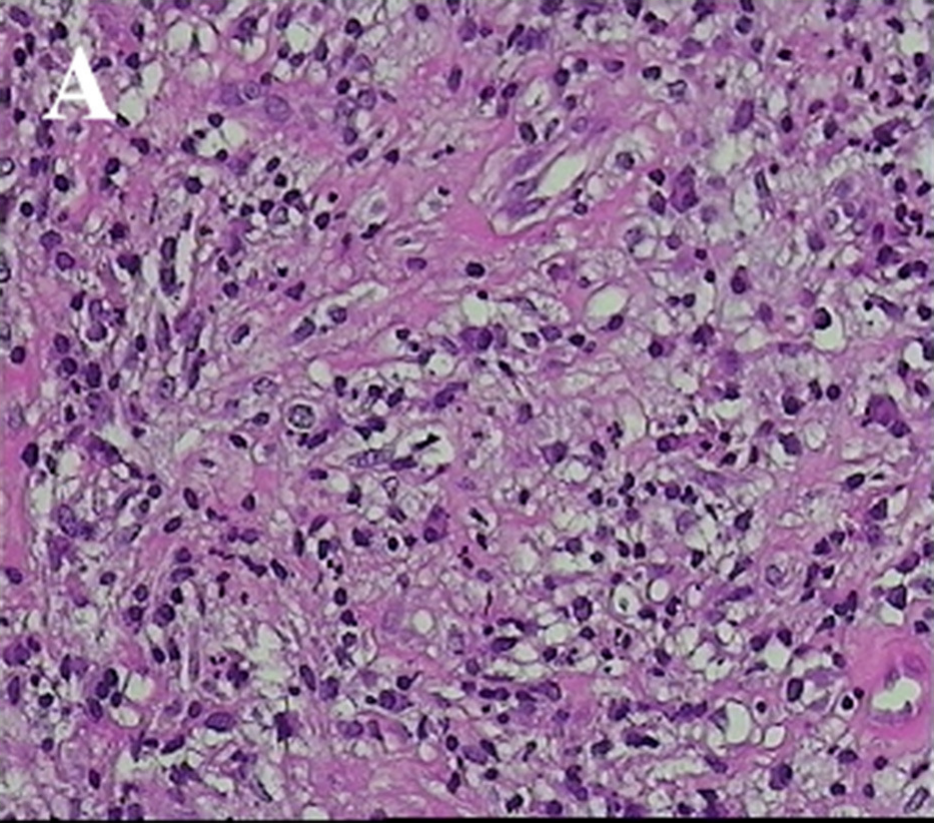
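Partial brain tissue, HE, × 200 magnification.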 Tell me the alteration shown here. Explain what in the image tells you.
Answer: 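Infiltration of numerous lymphocytes. Many small cells with round, dark, dense nuclei and scant cytoplasm are scattered densely through the tissue. These small dark nuclei lie among larger cells with pale, clear cytoplasm in a pink fibrillary background.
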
